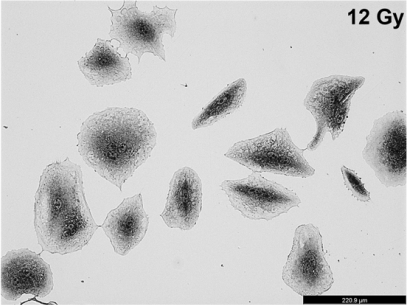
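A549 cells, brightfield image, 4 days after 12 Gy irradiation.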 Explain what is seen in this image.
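The cytoplasm thins toward a pale rim whose edge is finely irregular or ruffled. A darker, denser central region marks the nucleus and the thicker cytoplasm around it, and fine granular texture is visible. The cells lie singly and far apart, with few touching.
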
